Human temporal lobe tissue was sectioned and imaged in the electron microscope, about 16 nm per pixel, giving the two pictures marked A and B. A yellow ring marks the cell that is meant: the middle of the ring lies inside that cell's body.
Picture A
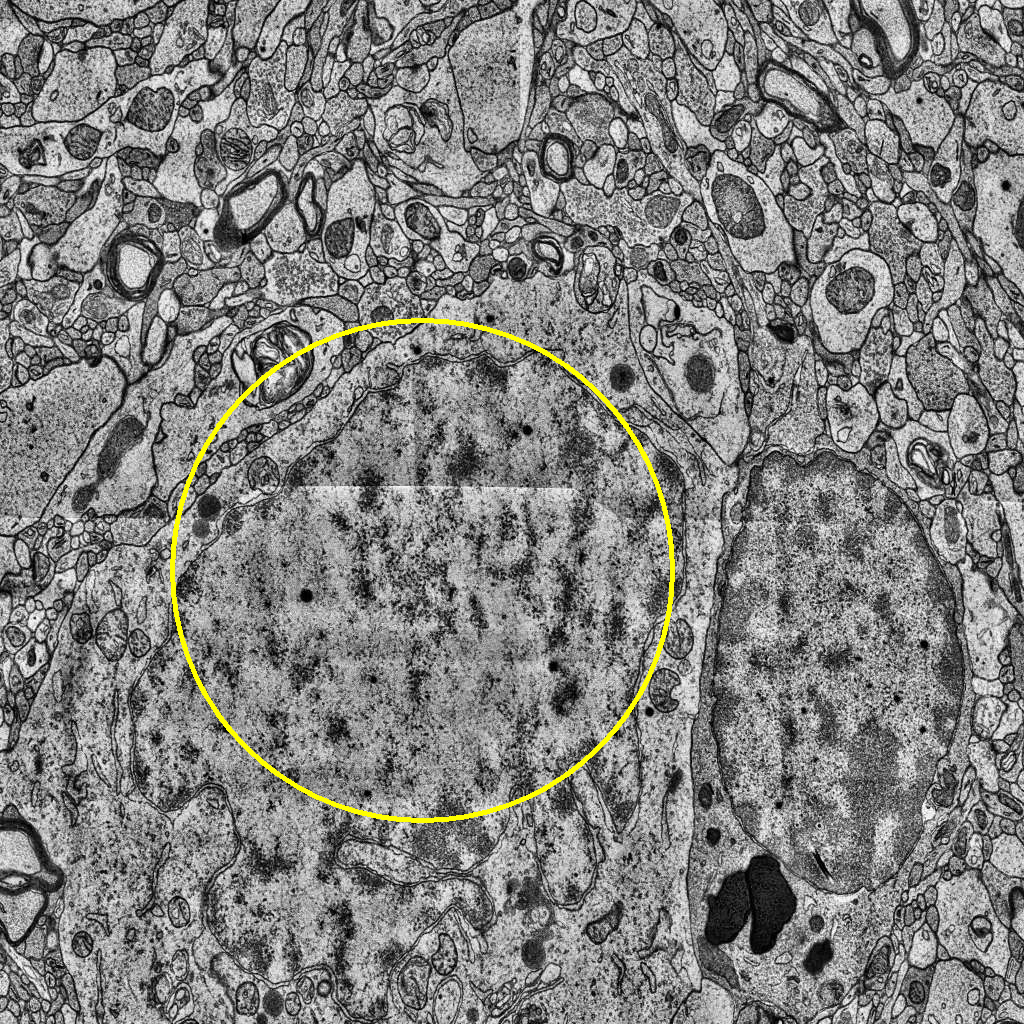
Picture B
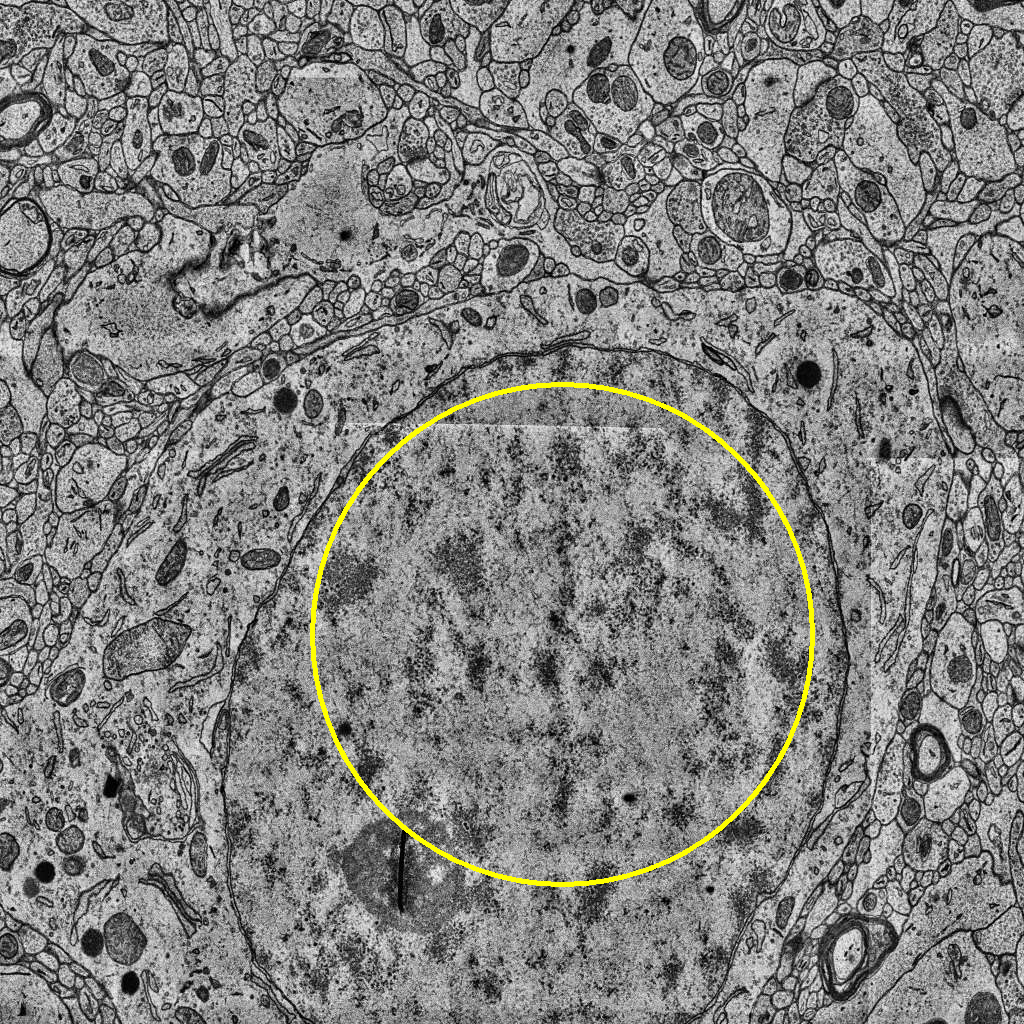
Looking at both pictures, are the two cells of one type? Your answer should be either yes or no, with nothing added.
yes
